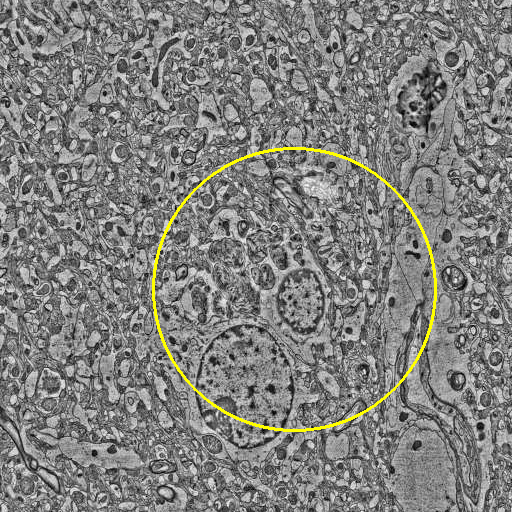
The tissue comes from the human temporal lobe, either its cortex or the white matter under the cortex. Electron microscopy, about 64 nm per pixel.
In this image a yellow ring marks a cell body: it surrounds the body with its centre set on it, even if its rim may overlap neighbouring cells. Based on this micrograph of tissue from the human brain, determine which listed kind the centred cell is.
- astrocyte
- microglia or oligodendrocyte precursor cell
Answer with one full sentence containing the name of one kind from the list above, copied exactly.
It is an astrocyte whose body the yellow ring encloses at its centre.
